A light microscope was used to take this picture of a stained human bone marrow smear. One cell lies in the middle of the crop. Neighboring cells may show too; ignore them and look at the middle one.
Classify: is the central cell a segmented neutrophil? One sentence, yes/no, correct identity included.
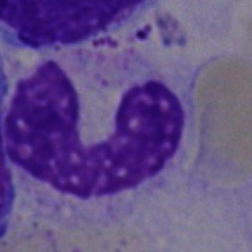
Yes, the central cell here is a segmented neutrophil.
